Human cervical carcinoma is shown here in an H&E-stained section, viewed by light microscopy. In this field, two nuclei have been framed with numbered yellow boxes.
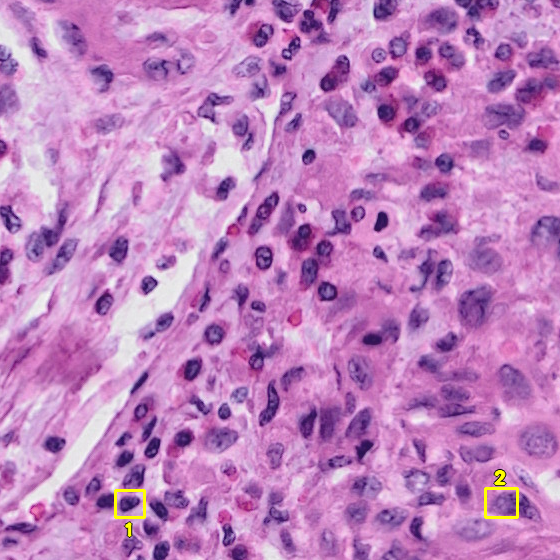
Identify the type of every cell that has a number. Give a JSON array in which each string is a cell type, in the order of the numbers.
["lymphocyte", "squamous carcinoma cell"]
